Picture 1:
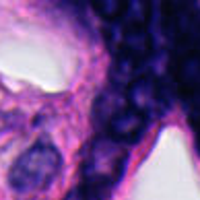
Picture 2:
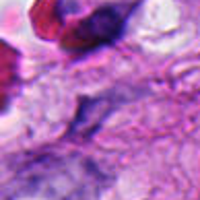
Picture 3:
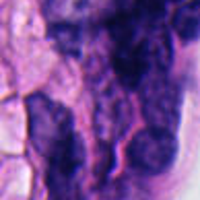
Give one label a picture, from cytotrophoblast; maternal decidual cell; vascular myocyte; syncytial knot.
1: syncytial knot
2: vascular myocyte
3: cytotrophoblast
